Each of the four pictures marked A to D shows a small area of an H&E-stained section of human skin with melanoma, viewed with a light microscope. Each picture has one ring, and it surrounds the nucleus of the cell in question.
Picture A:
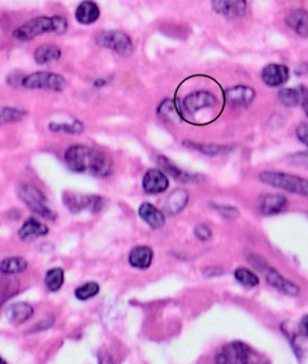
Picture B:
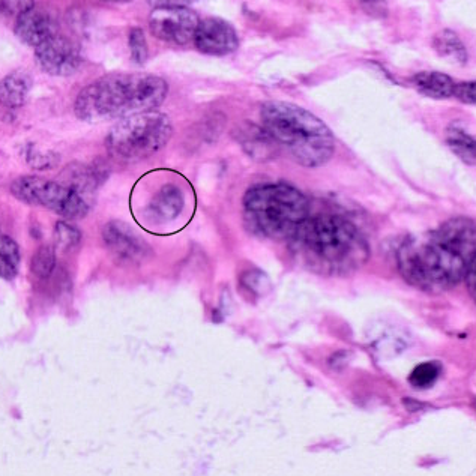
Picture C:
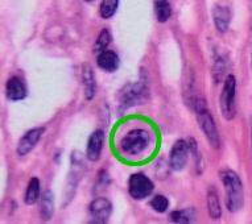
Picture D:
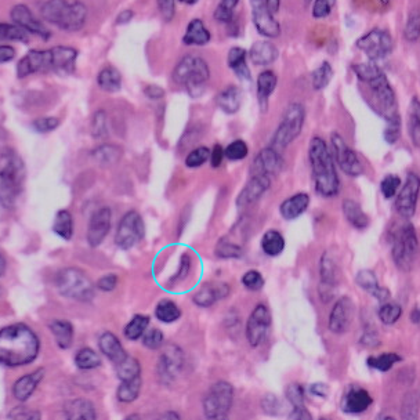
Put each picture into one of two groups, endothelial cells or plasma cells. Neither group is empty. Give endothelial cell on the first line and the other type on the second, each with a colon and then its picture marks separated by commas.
endothelial cell: A, B, D
plasma cell: C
